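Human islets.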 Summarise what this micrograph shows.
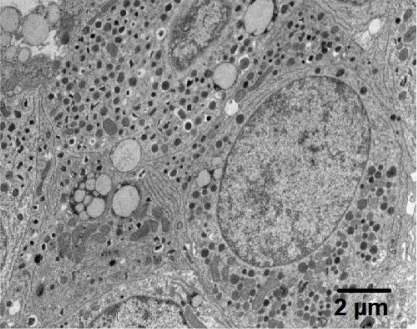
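A large oval nucleus, with finely dispersed chromatin and a smooth, continuous envelope, occupies the right half of the field. The surrounding cytoplasm is densely packed with numerous small, round secretory granules. Most have a dark, electron-dense core, and many show a pale halo between the core and the granule membrane. Elongated profiles of membranes and organelles lie among the granules. At the left are several larger, pale, round vacuole-like structures, and one of them contains smaller inclusions. Parts of neighbouring cells are visible at the edges of the field.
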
